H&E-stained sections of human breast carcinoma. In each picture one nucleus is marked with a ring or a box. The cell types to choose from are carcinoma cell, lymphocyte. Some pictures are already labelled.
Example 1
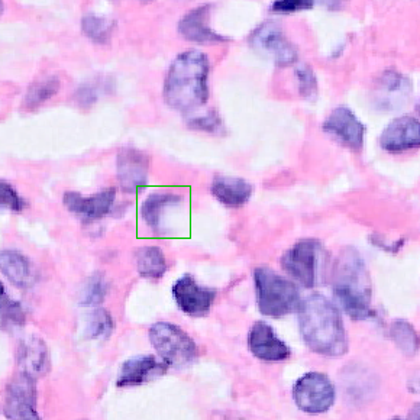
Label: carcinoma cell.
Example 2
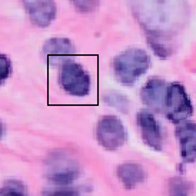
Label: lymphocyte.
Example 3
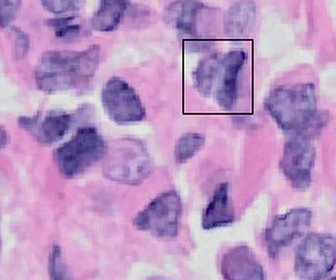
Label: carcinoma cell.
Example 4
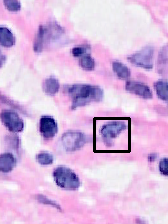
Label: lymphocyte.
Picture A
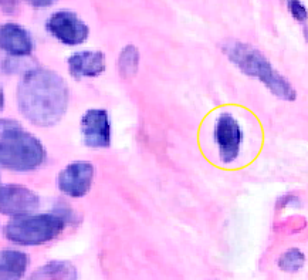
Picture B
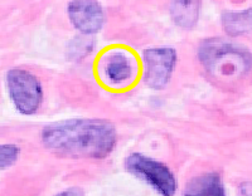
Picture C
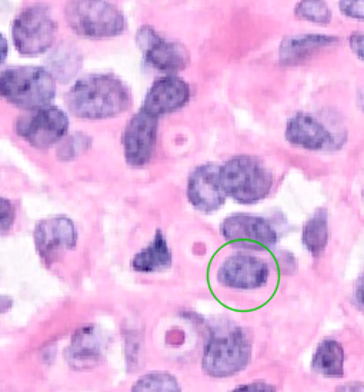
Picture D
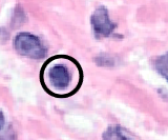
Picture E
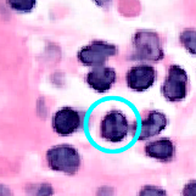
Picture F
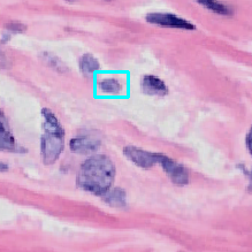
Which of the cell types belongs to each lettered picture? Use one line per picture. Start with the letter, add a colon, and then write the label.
A: lymphocyte.
B: lymphocyte.
C: carcinoma cell.
D: lymphocyte.
E: lymphocyte.
F: lymphocyte.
